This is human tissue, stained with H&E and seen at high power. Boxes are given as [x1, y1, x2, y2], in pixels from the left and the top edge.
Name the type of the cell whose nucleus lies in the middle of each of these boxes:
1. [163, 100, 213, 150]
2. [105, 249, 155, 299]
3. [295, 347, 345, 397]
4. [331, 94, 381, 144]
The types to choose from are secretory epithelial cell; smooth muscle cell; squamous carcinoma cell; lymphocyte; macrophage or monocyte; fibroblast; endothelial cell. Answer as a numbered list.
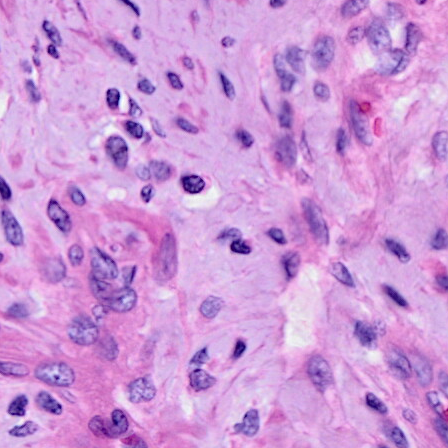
1. smooth muscle cell
2. endothelial cell
3. endothelial cell
4. endothelial cell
